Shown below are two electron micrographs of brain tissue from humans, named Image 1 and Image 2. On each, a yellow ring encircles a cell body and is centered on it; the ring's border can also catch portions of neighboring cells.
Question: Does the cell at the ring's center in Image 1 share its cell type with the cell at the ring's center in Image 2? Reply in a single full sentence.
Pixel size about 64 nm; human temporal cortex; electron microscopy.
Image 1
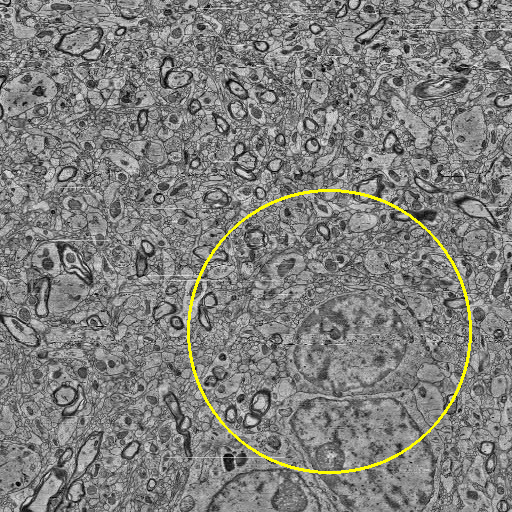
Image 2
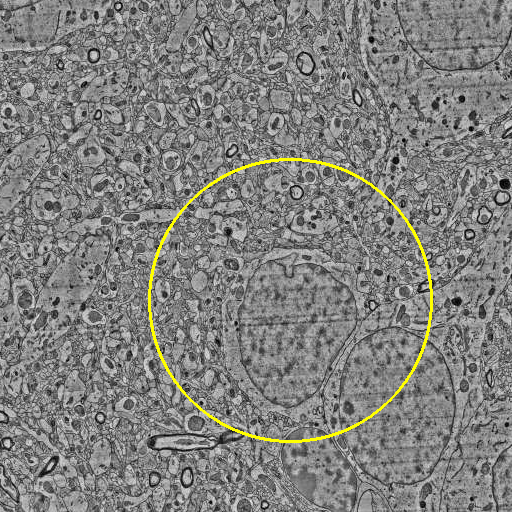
No, the two cells at the ring centers, in Image 1 and Image 2, are of two cell types.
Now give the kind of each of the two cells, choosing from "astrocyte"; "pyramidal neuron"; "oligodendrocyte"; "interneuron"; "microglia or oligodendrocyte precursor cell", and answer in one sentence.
The cell in the first picture is an oligodendrocyte, and the cell in the second is an interneuron.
